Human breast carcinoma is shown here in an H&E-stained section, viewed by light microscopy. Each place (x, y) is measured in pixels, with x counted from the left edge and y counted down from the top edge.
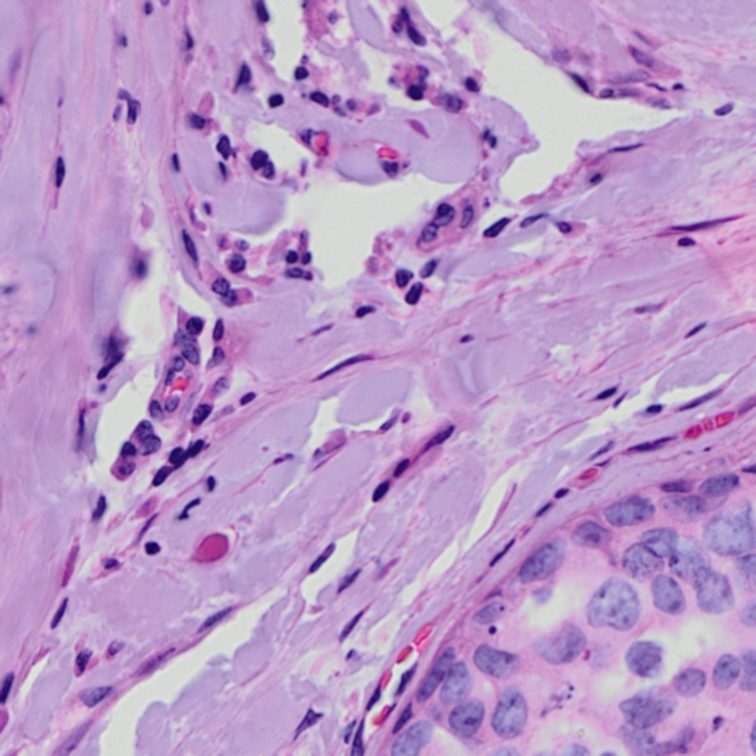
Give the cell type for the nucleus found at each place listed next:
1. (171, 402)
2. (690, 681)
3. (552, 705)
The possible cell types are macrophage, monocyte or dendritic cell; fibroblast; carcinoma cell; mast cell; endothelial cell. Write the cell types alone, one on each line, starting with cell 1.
endothelial cell
carcinoma cell
carcinoma cell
